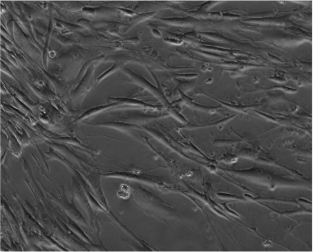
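The cells are long and spindle-shaped, with an elongated cell morphology. They lie side by side in roughly parallel streams, so that the field takes on a combed, oriented look. Little open space is left between cells, and the filopodia spreading in all directions are no longer prominent.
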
